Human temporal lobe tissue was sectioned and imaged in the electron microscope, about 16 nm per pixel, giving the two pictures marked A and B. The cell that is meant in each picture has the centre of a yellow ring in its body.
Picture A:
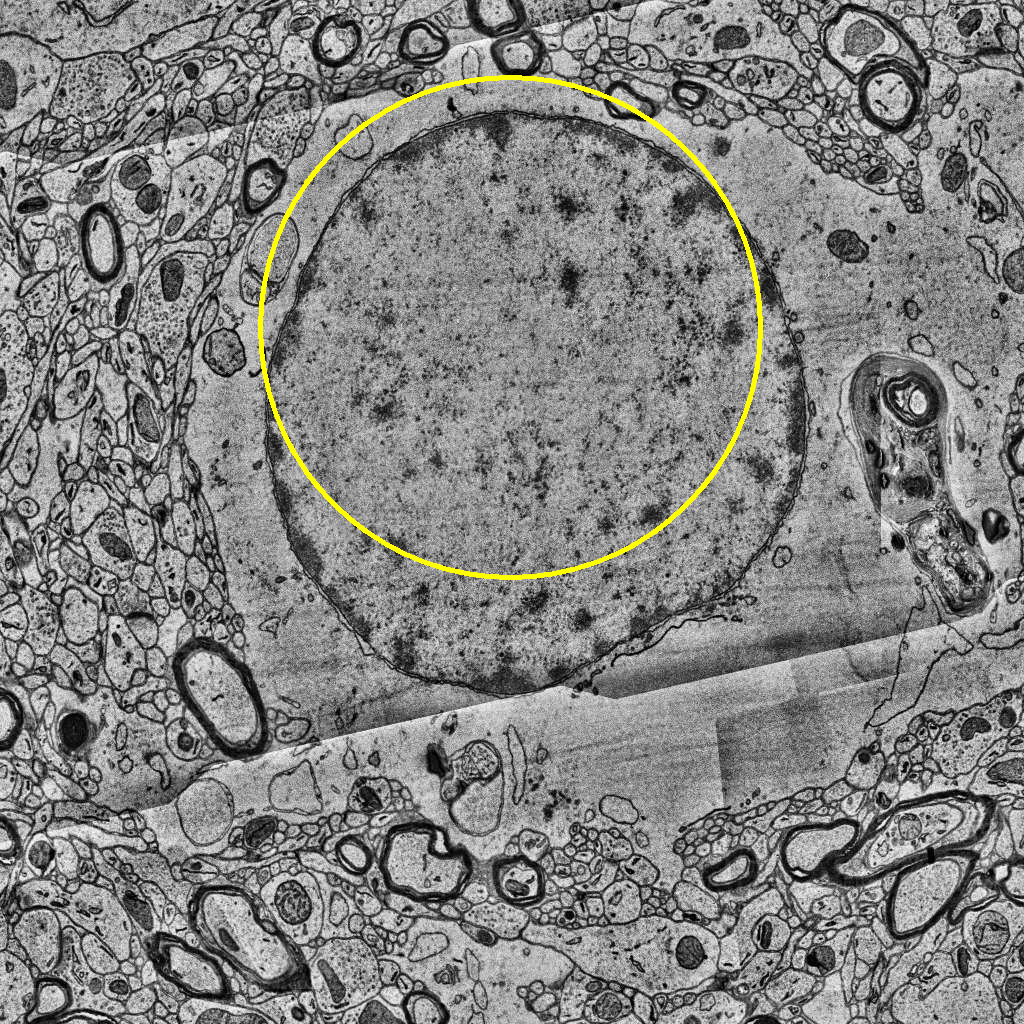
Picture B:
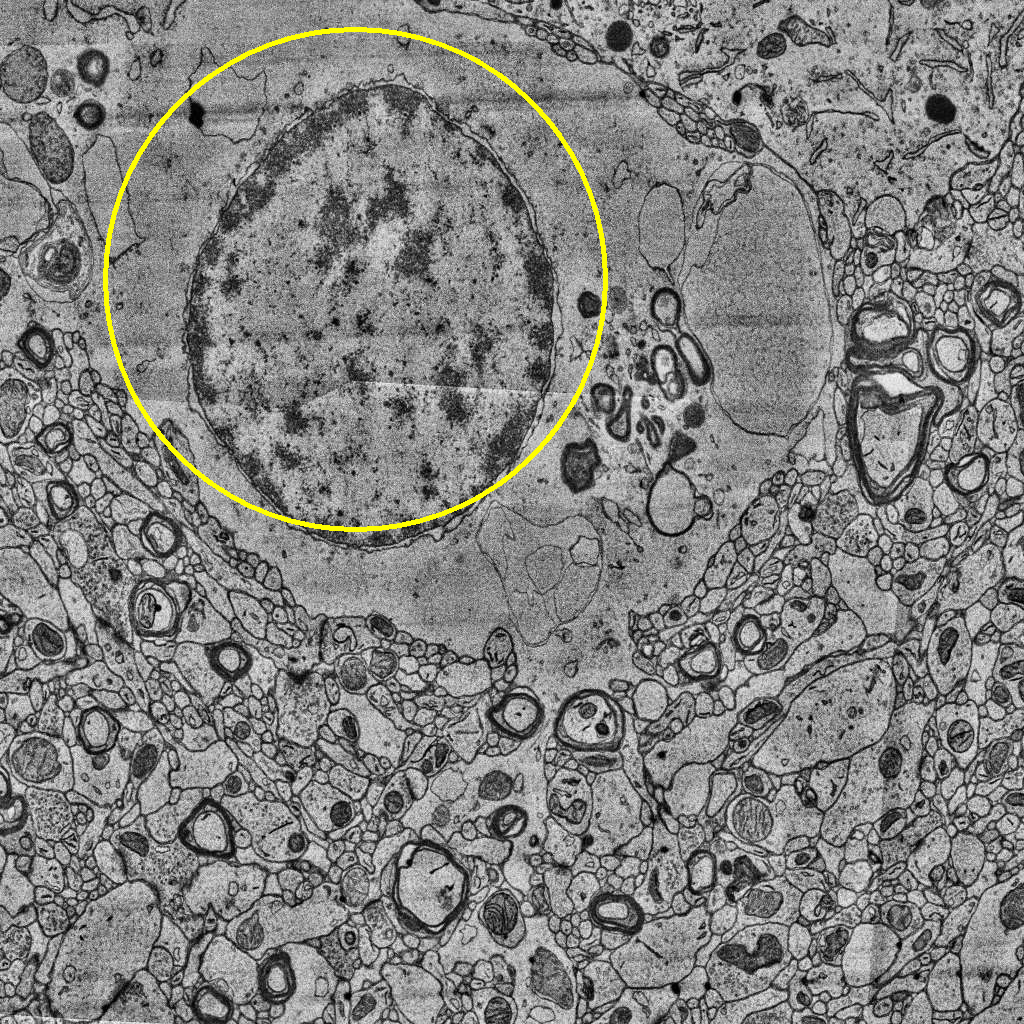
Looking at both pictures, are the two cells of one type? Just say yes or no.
yes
